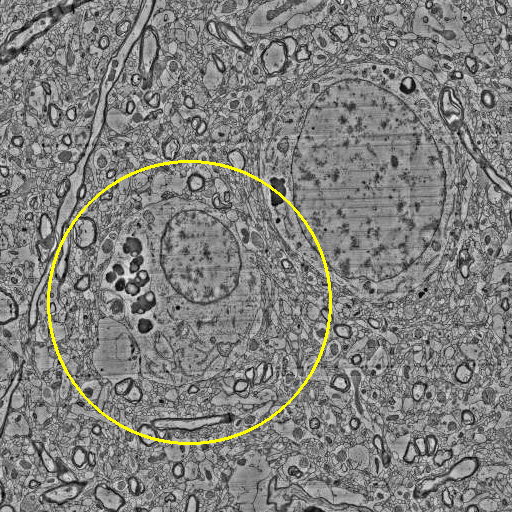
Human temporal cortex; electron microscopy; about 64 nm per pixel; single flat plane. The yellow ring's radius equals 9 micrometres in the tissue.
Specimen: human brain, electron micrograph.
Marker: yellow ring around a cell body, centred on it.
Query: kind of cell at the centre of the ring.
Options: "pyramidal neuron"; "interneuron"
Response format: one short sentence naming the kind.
This cell body belongs to a pyramidal neuron.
